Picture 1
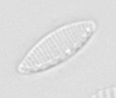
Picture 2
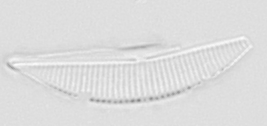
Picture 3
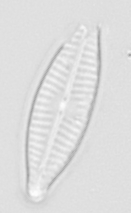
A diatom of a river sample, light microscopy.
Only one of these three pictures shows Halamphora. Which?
Picture 2.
